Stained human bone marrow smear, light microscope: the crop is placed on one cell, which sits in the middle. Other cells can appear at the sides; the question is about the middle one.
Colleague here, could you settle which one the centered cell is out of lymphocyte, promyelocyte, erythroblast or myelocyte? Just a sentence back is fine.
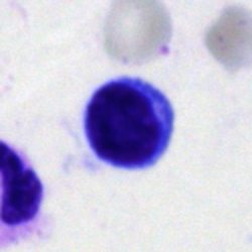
The cell featured at the centre of this crop is a lymphocyte.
